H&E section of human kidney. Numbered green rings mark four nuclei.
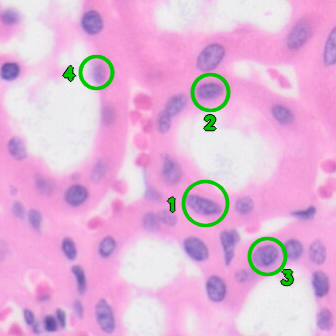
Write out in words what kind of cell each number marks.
Cells 1, 2 and 3 are collecting duct cells. Cell 4 is a loop of Henle or distal tubule cell.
